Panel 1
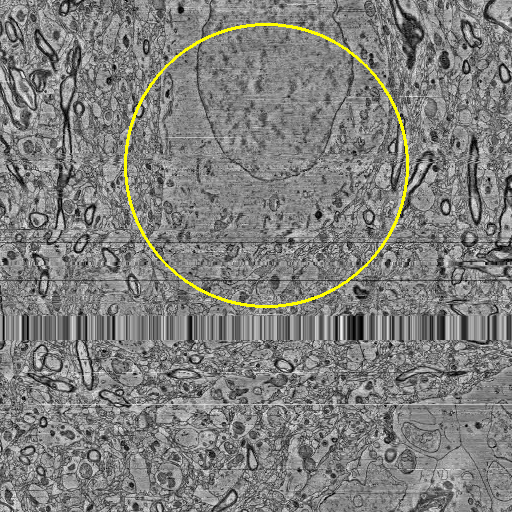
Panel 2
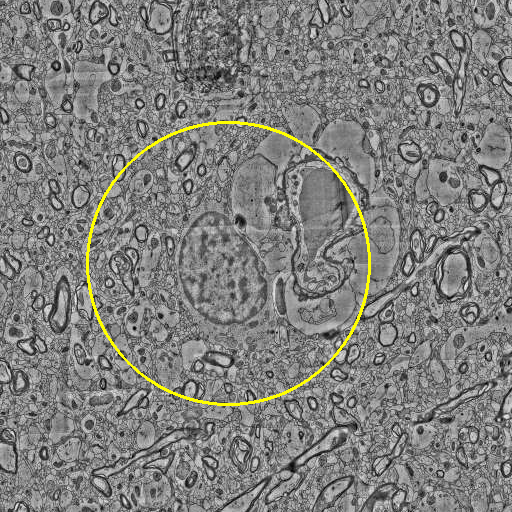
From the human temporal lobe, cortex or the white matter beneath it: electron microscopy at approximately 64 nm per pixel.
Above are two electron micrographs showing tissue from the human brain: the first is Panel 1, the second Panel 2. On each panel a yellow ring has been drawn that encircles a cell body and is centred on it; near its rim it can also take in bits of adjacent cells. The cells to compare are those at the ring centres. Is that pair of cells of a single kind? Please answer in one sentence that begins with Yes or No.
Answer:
No, the ring-centred cells of Panel 1 and Panel 2 belong to two kinds.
